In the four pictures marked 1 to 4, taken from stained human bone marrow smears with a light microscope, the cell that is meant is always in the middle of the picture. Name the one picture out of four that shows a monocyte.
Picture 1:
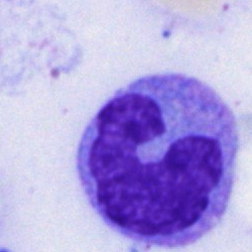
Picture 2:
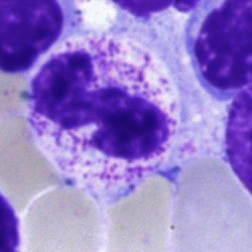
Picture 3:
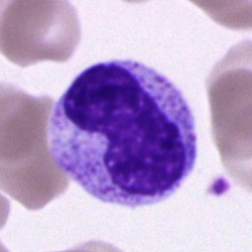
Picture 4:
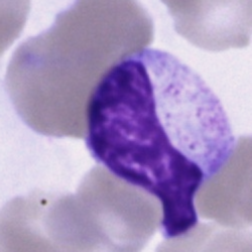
1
